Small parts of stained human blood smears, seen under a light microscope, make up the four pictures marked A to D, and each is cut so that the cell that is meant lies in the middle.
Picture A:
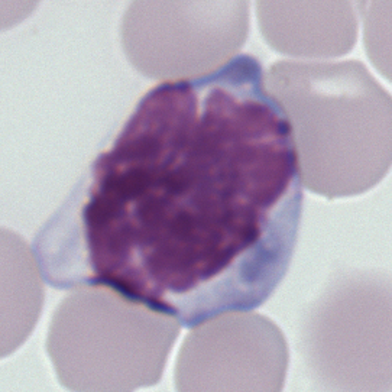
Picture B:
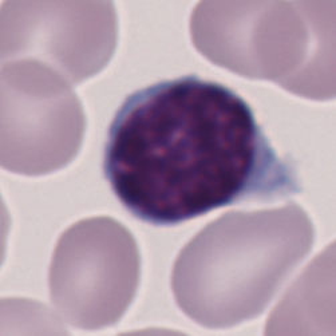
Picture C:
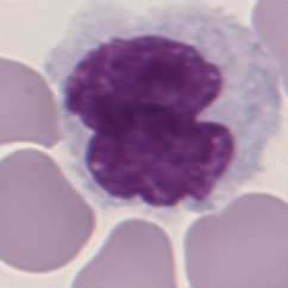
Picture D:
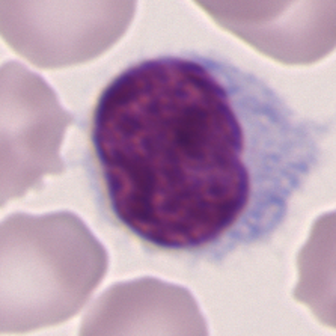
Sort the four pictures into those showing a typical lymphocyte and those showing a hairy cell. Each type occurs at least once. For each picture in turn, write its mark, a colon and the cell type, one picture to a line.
A: typical lymphocyte
B: typical lymphocyte
C: hairy cell
D: hairy cell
